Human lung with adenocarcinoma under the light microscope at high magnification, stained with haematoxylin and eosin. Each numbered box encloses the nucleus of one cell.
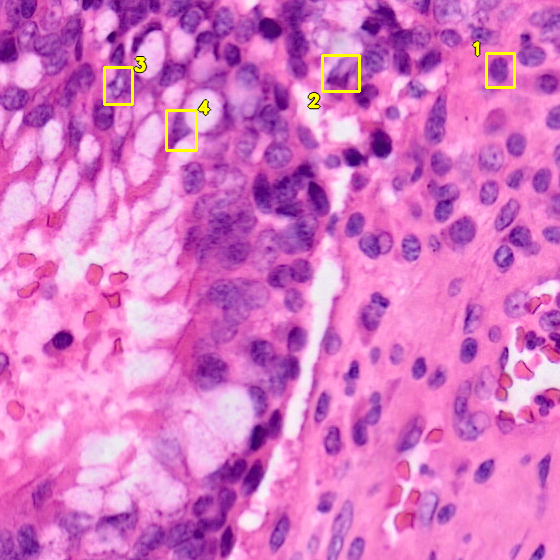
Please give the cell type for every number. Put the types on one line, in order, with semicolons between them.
plasma cell; ciliated epithelial cell; ciliated epithelial cell; ciliated epithelial cell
